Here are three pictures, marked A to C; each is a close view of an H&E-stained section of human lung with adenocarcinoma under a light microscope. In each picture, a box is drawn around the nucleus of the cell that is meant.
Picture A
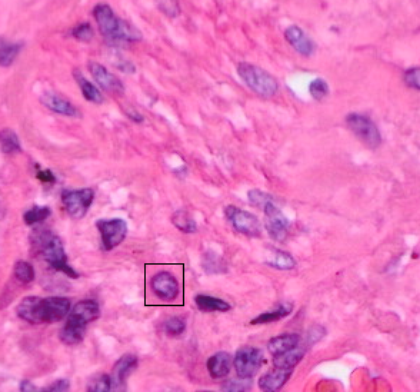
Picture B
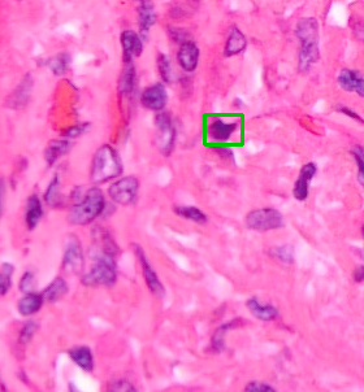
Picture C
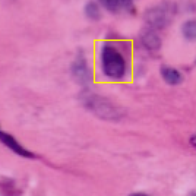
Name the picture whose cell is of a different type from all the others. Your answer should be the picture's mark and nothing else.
A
